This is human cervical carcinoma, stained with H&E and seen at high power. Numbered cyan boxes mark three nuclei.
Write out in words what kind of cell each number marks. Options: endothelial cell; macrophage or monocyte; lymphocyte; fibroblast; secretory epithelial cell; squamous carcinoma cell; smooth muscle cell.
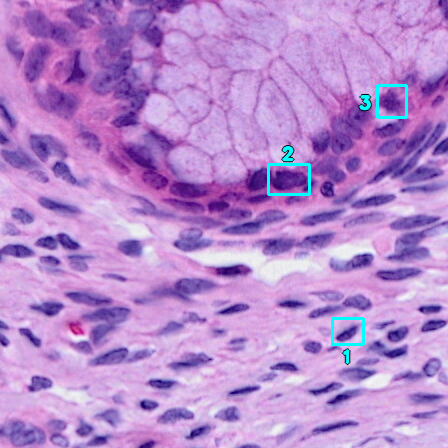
Cell 1 is a fibroblast, cell 2 is a secretory epithelial cell and cell 3 is a secretory epithelial cell.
